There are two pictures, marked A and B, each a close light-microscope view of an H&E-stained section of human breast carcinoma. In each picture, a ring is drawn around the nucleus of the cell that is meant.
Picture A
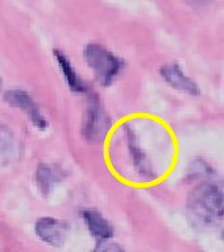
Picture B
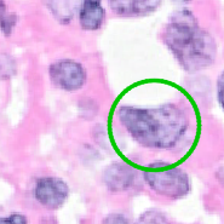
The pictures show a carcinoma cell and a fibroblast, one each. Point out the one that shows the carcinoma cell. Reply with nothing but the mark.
B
